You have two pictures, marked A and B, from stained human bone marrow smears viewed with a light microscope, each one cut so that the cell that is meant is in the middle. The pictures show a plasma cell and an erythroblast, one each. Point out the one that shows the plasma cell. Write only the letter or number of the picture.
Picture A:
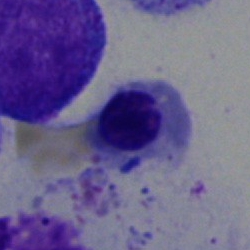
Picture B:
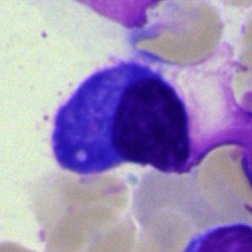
B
